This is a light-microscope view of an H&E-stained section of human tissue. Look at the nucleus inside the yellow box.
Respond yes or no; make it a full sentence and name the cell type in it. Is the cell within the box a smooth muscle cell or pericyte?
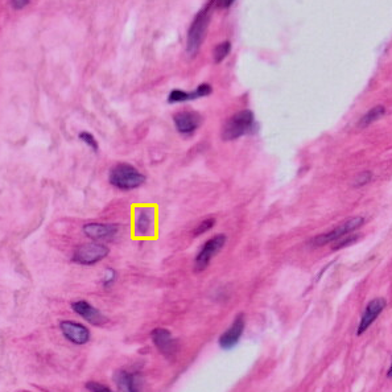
Yes, by cell type, the cell within the box is a smooth muscle cell or pericyte.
